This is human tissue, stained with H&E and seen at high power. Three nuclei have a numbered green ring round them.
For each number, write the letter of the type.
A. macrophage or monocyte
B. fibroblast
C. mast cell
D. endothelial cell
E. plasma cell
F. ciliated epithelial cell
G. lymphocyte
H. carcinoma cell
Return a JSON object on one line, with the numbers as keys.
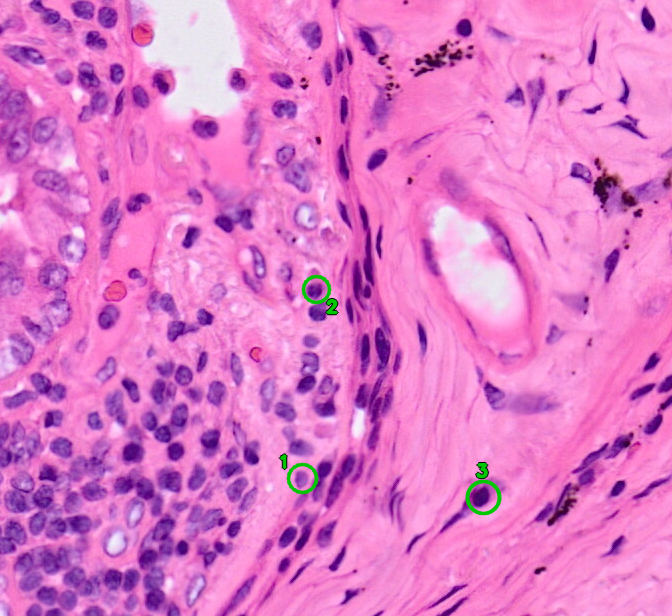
{"1": "G", "2": "E", "3": "E"}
